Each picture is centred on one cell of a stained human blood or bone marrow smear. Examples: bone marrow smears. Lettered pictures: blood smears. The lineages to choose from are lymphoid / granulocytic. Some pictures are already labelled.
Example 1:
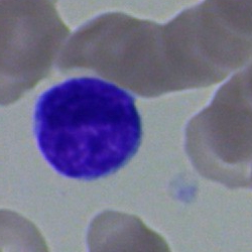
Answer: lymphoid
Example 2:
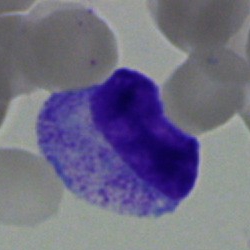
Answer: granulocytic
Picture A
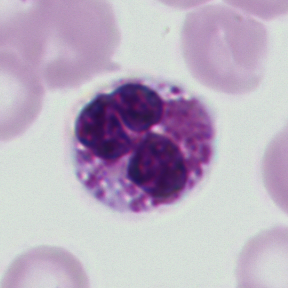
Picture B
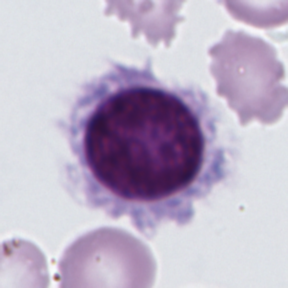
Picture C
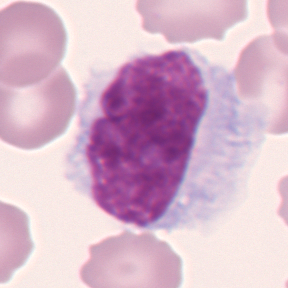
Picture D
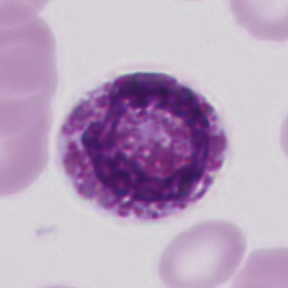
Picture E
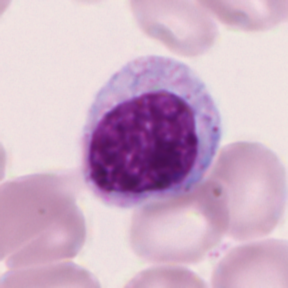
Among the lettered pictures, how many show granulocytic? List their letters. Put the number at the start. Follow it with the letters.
Count: 3 (A, D, E)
